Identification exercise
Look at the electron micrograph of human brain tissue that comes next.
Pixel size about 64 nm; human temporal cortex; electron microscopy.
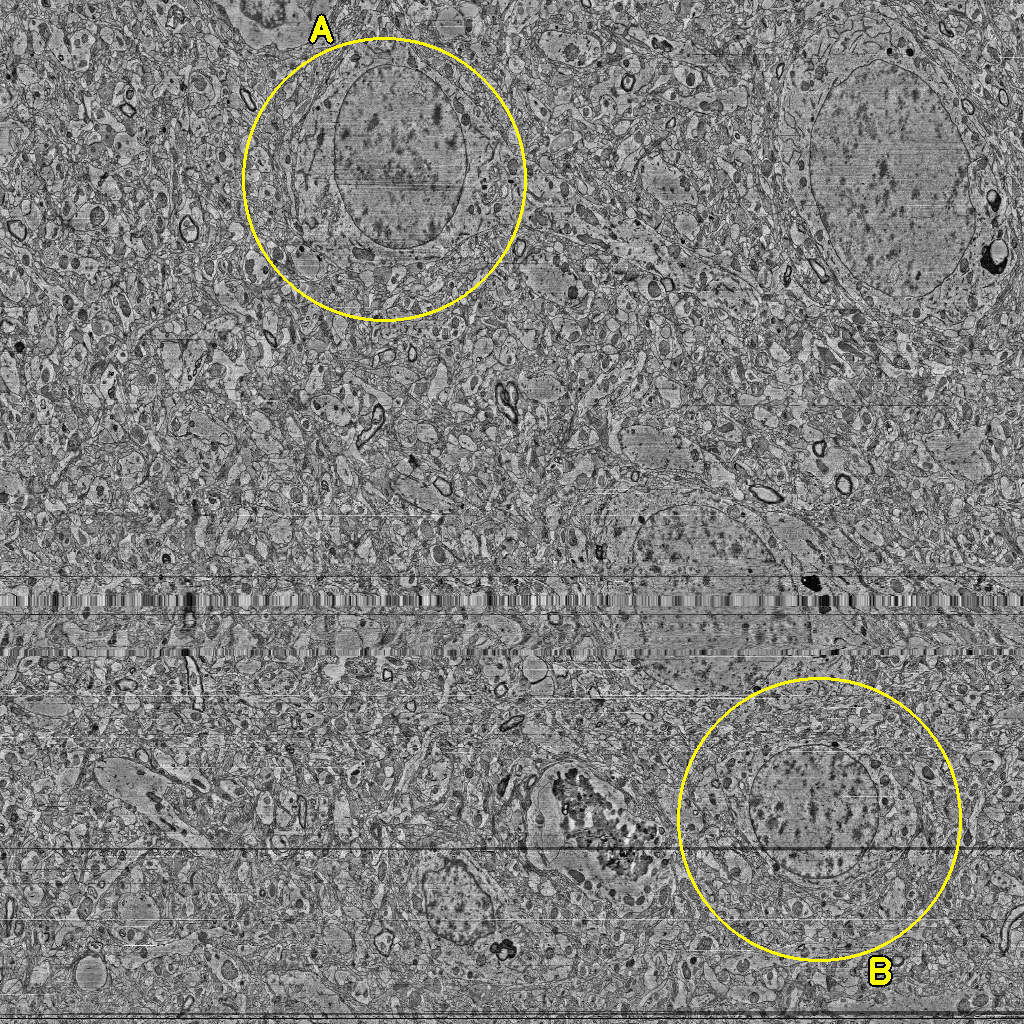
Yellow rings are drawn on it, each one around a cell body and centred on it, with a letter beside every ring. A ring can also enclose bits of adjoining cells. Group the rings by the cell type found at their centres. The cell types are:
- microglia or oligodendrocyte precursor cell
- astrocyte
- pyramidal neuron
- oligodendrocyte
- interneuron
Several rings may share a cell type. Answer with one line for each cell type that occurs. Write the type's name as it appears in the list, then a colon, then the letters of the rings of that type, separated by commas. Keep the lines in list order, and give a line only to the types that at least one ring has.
pyramidal neuron: A, B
